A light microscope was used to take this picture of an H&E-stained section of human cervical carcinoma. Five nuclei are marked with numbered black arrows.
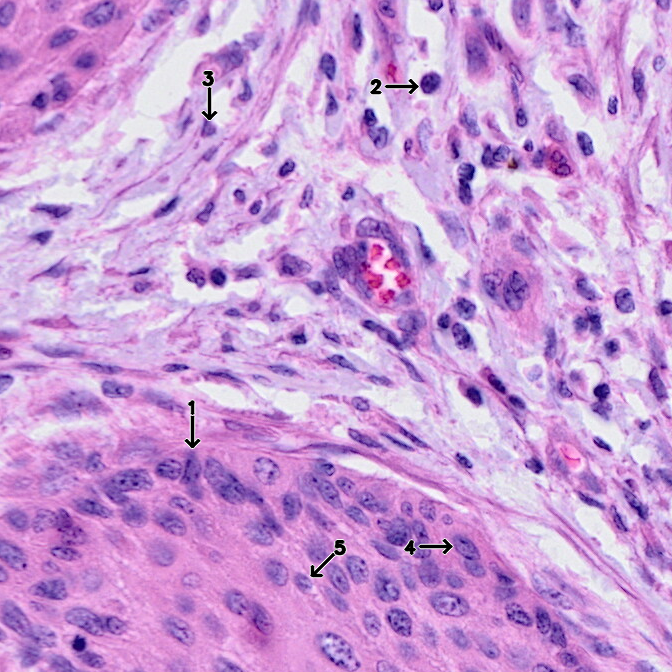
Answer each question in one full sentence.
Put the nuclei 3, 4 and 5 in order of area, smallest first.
Smallest first, the nuclei run 3, 5, 4.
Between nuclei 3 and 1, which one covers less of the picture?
It is nucleus 3; nucleus 1 has about 2.5 times its area.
